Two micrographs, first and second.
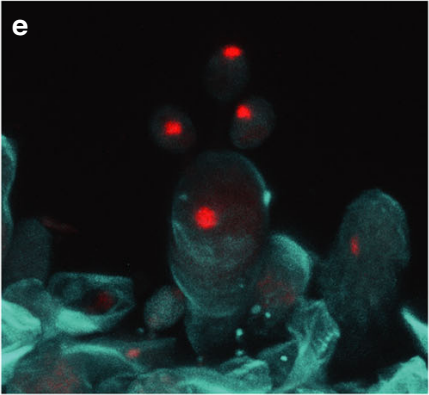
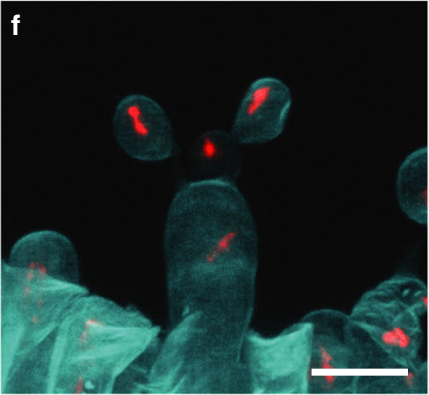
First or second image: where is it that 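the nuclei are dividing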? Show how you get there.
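The second image. First image: the red nuclei in the spores and the basidium are compact round spots. Second image: the red nuclei in the spores are elongated, streaked shapes.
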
